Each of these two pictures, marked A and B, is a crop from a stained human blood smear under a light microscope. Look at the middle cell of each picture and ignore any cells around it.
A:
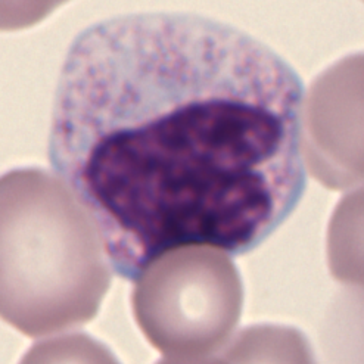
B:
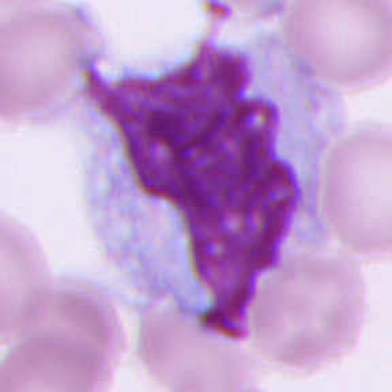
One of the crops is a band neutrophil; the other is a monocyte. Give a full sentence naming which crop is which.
Crop A presents a band neutrophil, and crop B presents a monocyte.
